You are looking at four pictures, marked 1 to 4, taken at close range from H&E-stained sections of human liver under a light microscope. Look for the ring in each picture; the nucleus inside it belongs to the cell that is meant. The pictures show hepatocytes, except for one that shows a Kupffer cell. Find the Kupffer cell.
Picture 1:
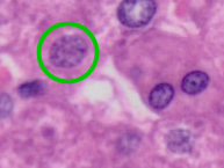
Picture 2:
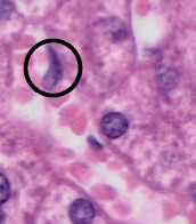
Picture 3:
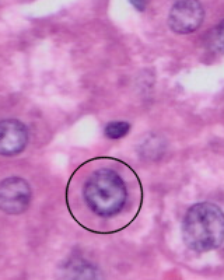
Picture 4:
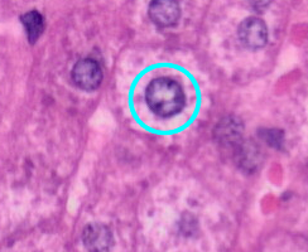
2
